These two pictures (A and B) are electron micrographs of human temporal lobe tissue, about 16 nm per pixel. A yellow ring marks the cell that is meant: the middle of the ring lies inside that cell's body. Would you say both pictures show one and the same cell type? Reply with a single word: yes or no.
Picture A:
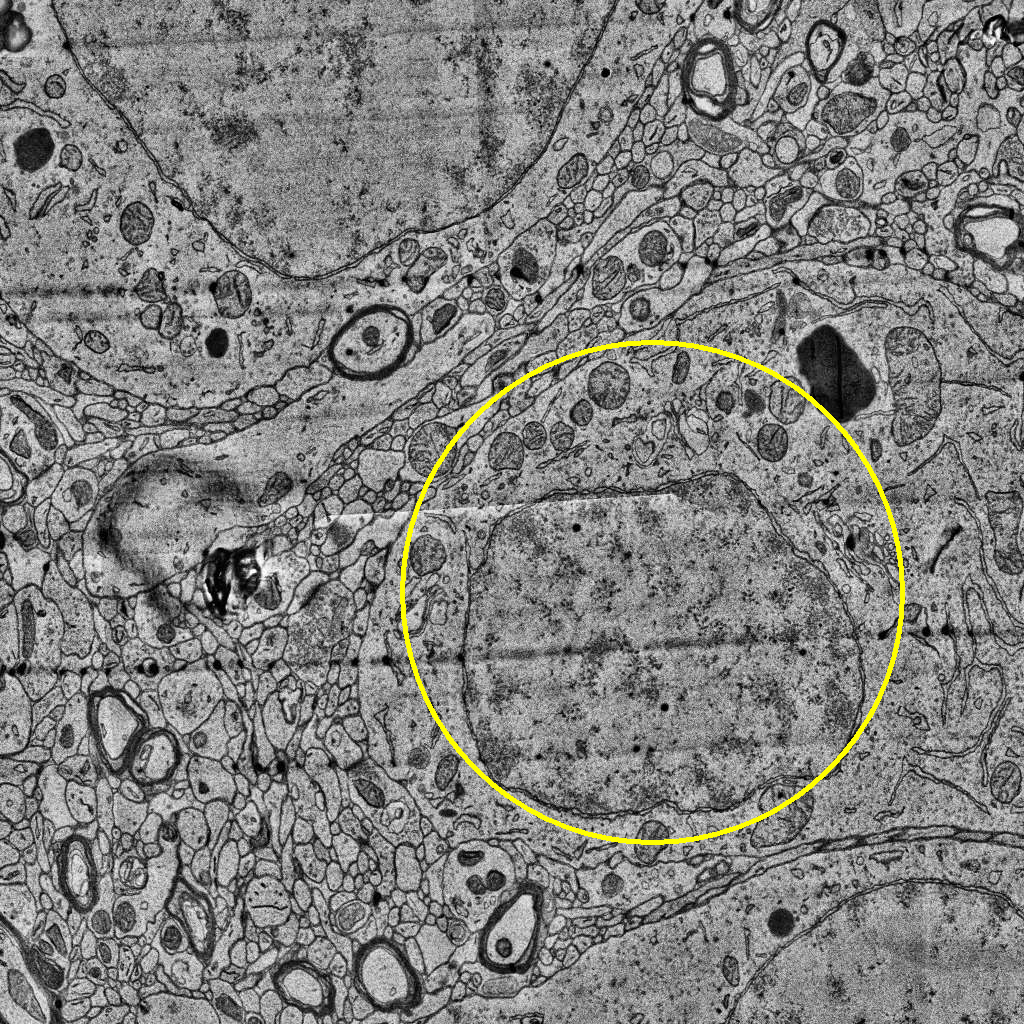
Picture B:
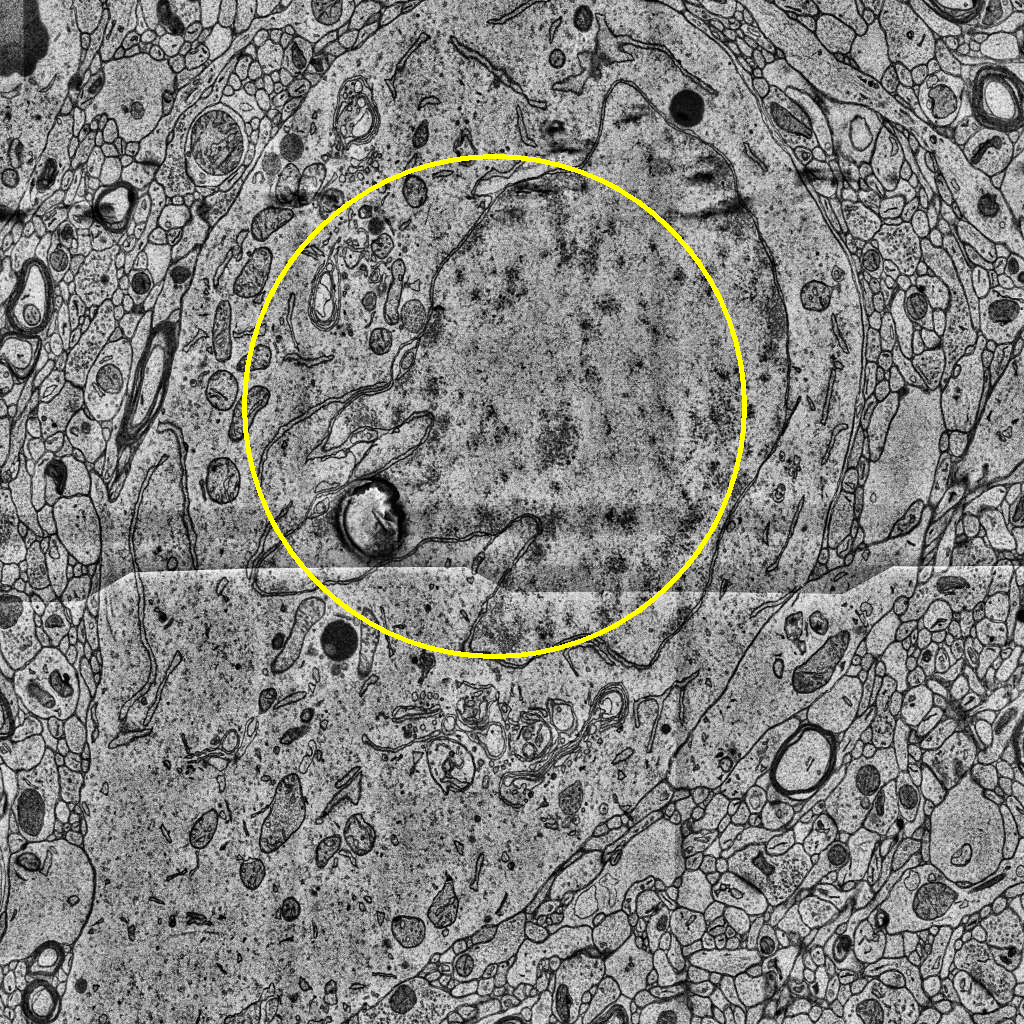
yes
